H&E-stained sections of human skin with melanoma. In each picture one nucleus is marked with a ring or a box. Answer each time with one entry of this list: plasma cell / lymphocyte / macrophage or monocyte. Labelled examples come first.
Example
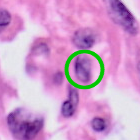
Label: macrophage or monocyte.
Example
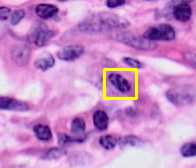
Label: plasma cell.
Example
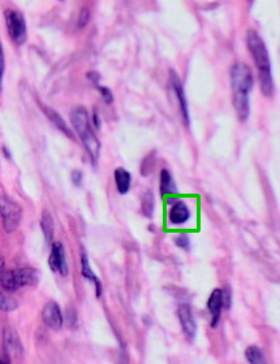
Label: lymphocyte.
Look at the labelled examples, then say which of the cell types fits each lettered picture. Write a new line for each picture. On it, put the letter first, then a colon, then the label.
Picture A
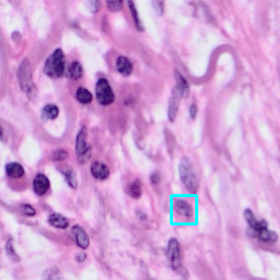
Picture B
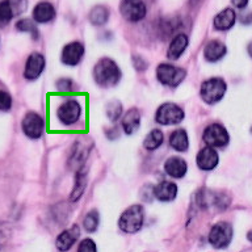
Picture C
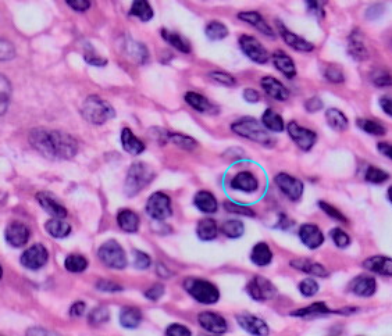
A: macrophage or monocyte.
B: lymphocyte.
C: lymphocyte.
